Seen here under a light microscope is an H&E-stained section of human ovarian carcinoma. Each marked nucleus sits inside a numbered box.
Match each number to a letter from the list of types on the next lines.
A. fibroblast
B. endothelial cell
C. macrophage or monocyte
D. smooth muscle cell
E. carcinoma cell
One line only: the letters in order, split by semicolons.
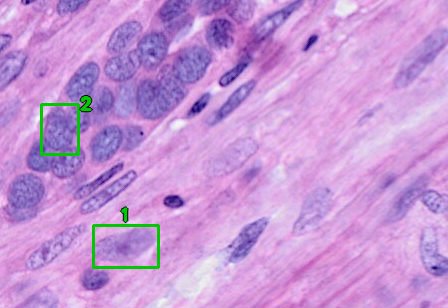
A; E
